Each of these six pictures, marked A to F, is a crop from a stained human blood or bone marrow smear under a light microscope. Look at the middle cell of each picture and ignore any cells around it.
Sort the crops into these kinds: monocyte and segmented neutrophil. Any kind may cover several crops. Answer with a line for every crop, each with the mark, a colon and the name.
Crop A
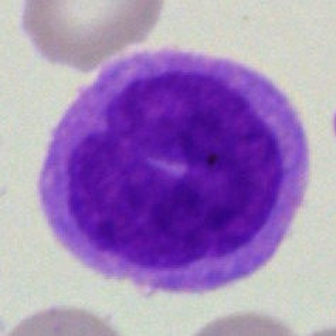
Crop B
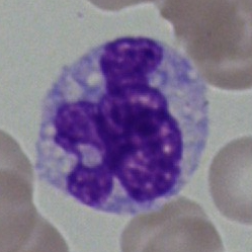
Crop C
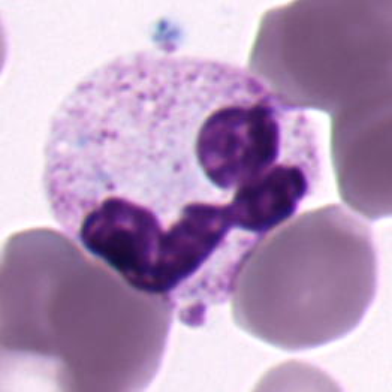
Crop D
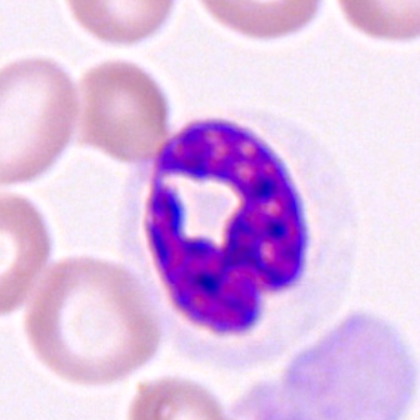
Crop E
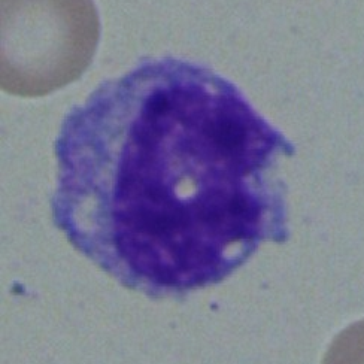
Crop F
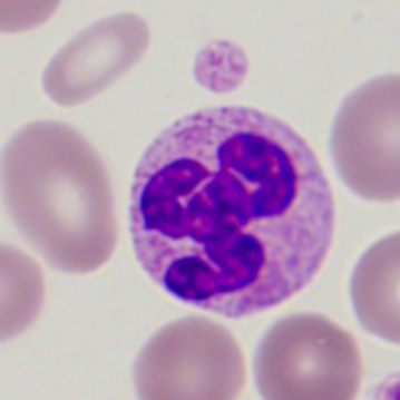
A: monocyte
B: monocyte
C: segmented neutrophil
D: segmented neutrophil
E: monocyte
F: segmented neutrophil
